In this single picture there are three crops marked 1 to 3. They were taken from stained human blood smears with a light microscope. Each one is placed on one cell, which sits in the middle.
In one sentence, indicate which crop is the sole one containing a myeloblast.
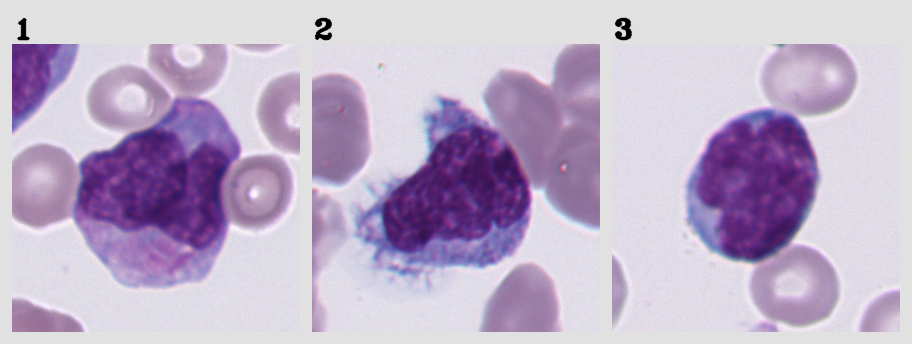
In the set of crops, crop 3 is the one that contains a myeloblast.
